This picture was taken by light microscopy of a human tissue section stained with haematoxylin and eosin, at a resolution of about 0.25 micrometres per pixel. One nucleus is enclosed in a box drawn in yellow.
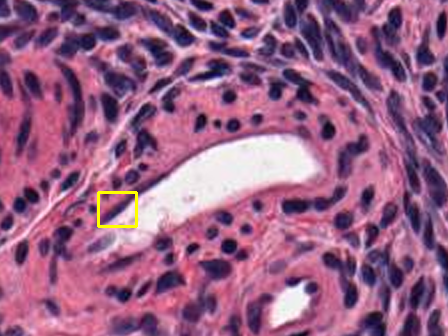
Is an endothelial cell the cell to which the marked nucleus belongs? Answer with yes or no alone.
yes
